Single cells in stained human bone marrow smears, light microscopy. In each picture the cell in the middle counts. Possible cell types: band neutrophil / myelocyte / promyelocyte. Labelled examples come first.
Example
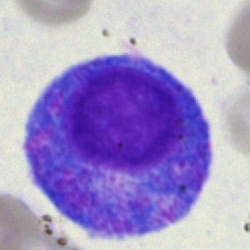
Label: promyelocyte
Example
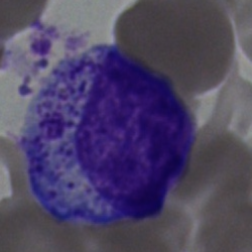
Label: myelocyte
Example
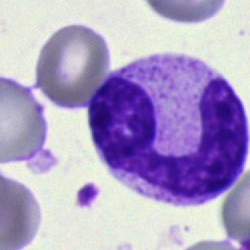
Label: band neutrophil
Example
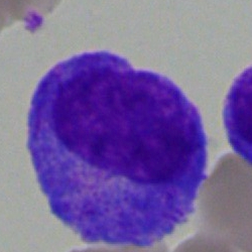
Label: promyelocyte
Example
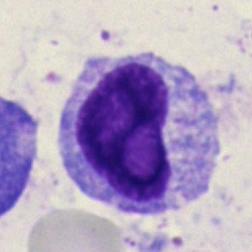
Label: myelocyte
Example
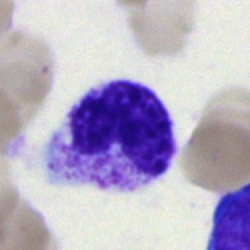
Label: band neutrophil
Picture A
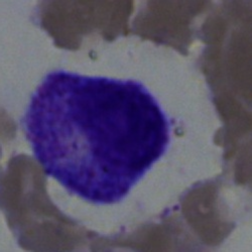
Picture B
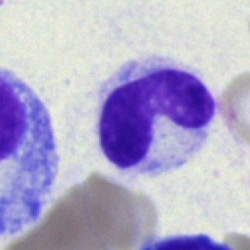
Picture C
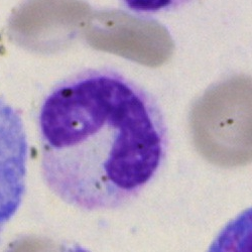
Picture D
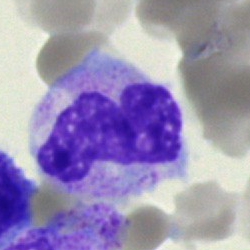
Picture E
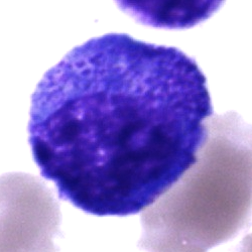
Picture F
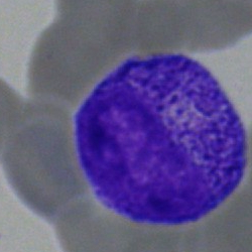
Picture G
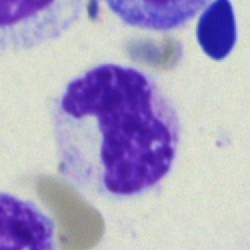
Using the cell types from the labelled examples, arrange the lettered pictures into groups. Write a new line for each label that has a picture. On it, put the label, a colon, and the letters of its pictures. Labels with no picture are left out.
band neutrophil: B, C, D, G
myelocyte: A, F
promyelocyte: E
